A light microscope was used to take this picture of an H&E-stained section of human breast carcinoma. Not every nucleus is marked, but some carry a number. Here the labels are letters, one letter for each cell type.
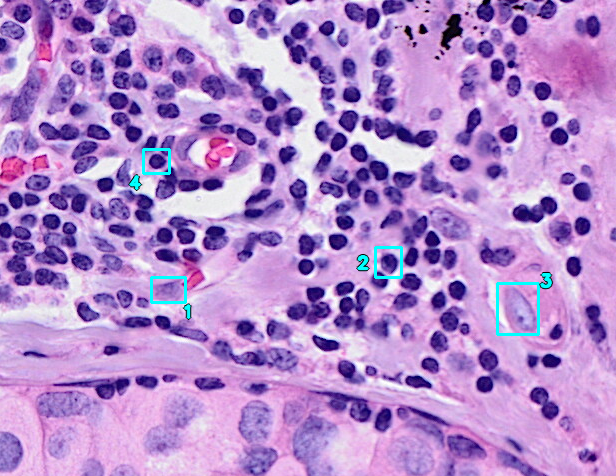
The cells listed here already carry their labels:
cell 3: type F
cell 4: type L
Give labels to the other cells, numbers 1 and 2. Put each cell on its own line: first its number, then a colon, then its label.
1: type F
2: type L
